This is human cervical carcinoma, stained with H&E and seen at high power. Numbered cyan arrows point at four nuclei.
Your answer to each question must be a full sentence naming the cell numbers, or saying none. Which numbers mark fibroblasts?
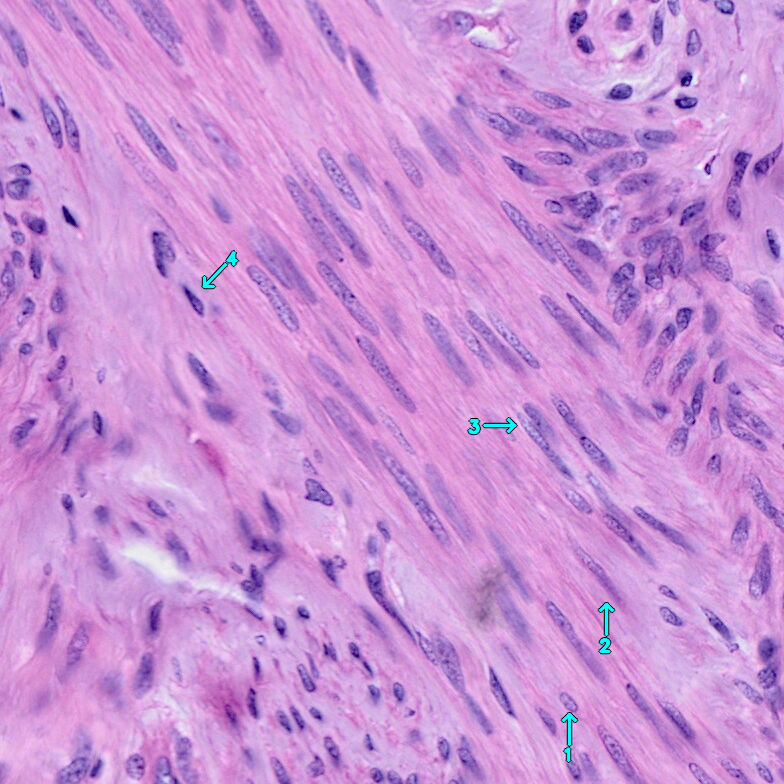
Cell 4 is a fibroblast, and it is the only numbered cell that is.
